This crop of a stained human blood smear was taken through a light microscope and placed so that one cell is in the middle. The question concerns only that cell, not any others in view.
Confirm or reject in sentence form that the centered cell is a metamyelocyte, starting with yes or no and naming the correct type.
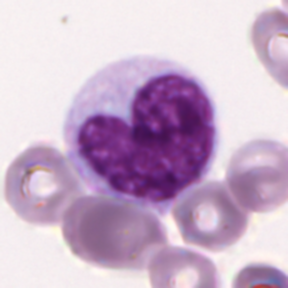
Yes, the cell centred in this crop is a metamyelocyte.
